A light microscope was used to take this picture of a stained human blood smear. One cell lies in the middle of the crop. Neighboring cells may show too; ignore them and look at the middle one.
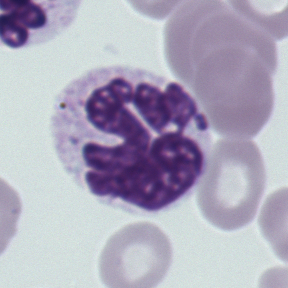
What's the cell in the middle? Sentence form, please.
The center cell of this crop is a neutrophil.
